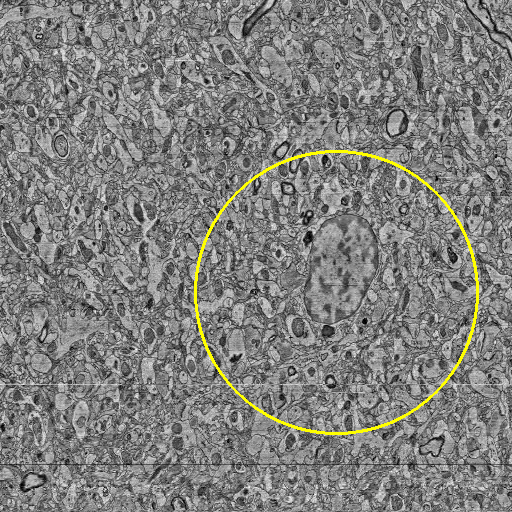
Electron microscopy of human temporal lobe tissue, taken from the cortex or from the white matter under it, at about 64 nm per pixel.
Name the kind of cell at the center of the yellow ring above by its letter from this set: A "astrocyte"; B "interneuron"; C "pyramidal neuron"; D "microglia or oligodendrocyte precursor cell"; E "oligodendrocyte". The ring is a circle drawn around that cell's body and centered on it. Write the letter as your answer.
D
